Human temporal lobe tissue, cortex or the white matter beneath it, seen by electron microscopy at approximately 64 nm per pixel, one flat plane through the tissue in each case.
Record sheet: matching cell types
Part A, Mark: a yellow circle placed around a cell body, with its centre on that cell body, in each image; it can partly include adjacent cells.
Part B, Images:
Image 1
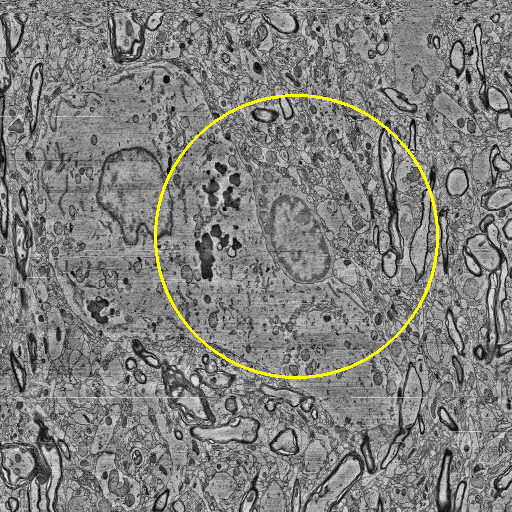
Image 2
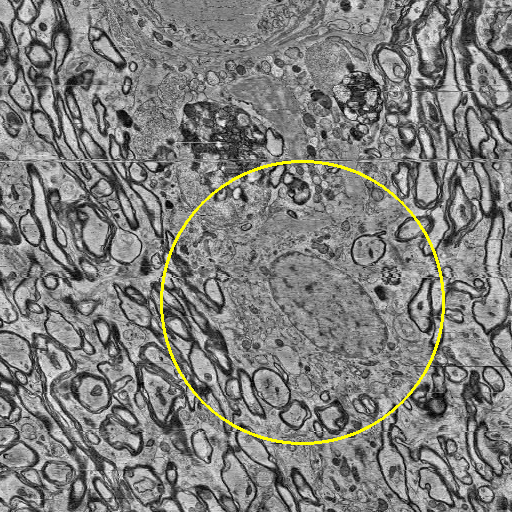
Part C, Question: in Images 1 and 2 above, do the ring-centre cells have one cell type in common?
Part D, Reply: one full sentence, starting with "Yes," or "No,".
No, the ring-centre cells of Image 1 and Image 2 are each of a separate cell type.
